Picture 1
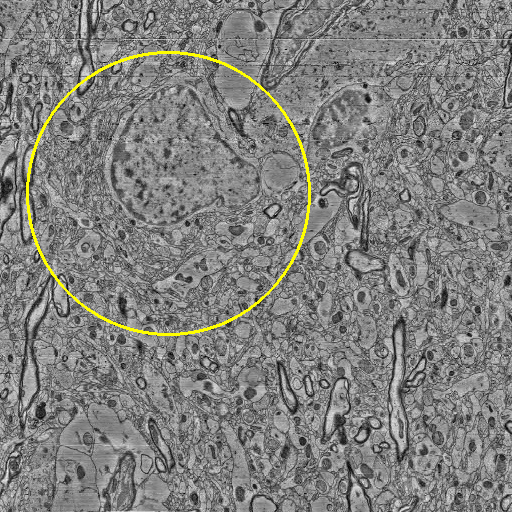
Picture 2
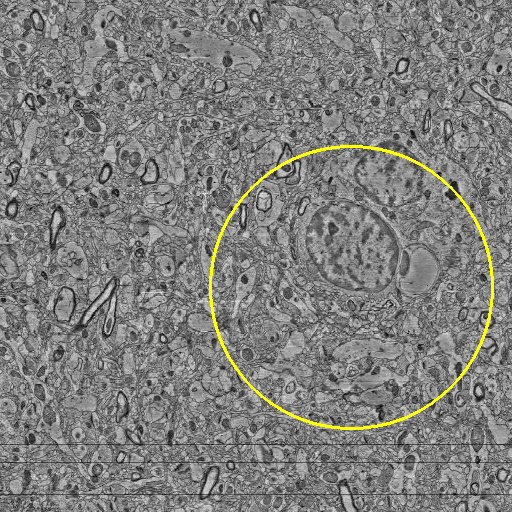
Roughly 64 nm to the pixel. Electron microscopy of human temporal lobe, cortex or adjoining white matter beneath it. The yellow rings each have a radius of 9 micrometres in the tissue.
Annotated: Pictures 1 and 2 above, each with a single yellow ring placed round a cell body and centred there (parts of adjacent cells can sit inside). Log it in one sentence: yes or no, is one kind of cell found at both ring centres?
No, the ring centres of the two pictures hold cells of two kinds.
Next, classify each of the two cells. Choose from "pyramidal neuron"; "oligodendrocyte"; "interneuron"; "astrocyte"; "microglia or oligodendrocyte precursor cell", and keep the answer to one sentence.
In the first picture it is a microglial cell or oligodendrocyte precursor cell; in the second it is an oligodendrocyte.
